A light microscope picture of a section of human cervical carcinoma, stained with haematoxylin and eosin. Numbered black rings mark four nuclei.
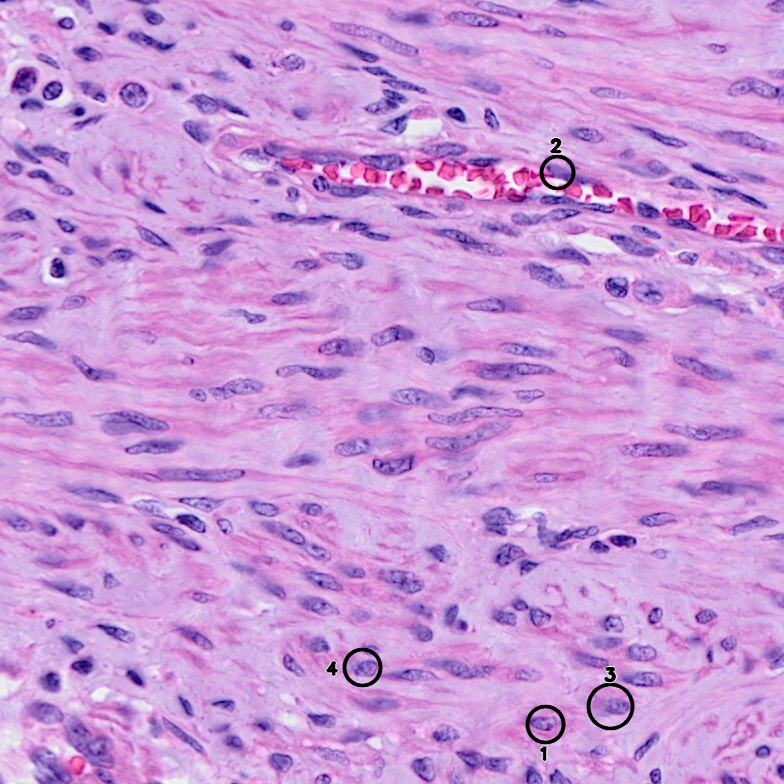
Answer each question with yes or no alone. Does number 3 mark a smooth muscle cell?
yes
